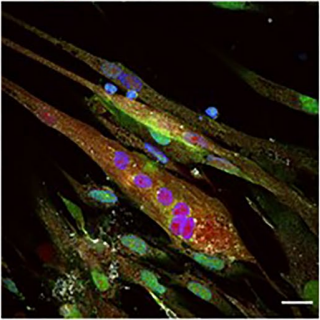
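Elongated myotubes run across the field, their cytoplasm appearing orange to yellow-green. Many oval nuclei are visible, most bright green or teal, while others are blue to purple and lie grouped together inside a broad central cell. Clusters of bright white puncta gather in the lower left and along some cell margins. The cells vary in width, from broad bodies to thin tapering processes.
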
